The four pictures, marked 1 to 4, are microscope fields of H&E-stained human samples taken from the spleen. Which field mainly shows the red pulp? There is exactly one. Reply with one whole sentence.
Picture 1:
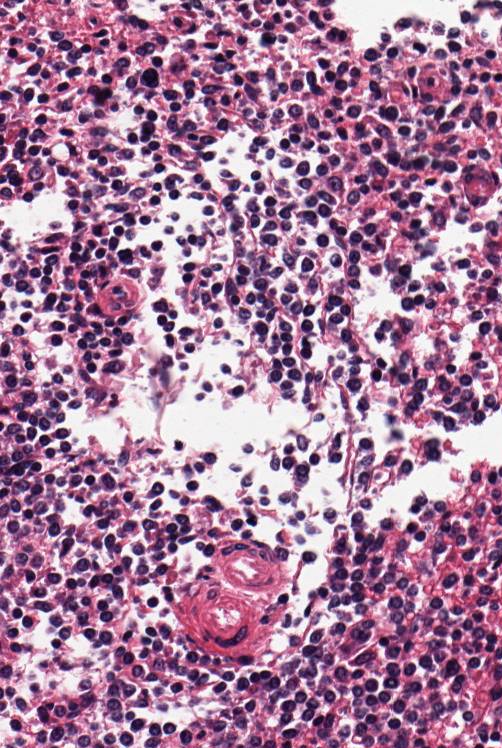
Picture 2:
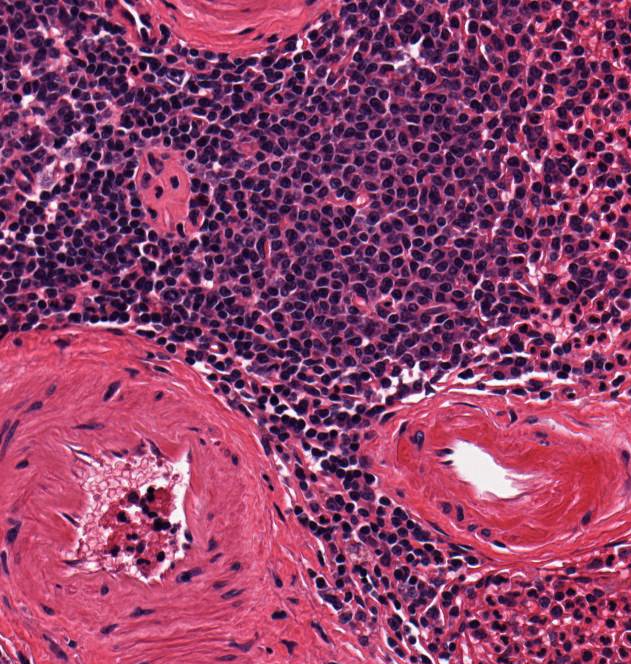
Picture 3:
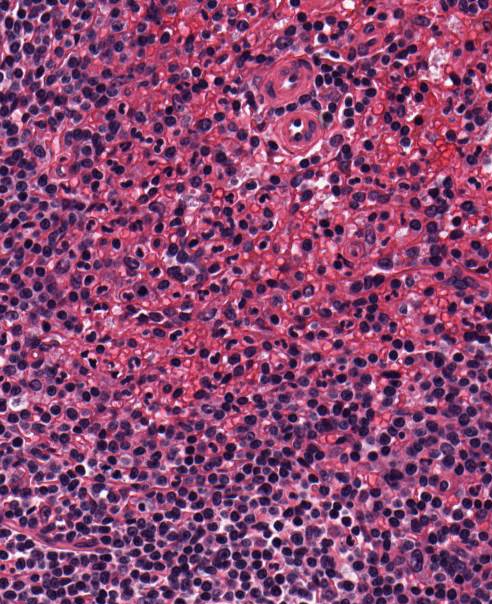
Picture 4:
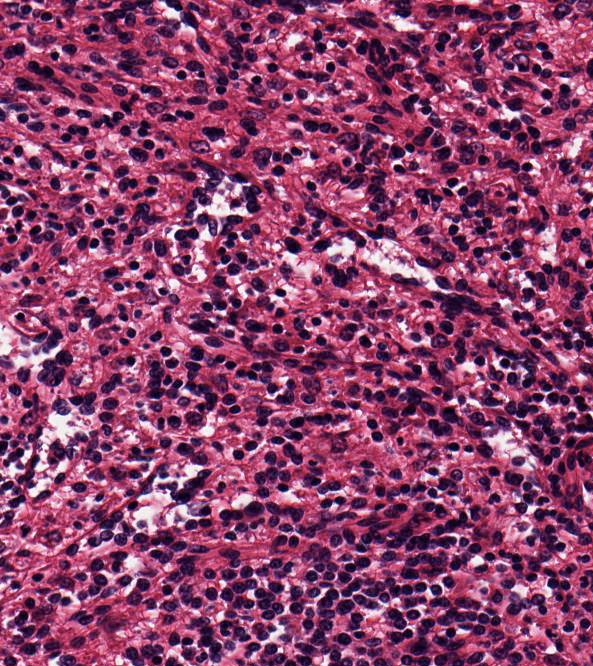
Picture 4 is the field that mainly shows the red pulp.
